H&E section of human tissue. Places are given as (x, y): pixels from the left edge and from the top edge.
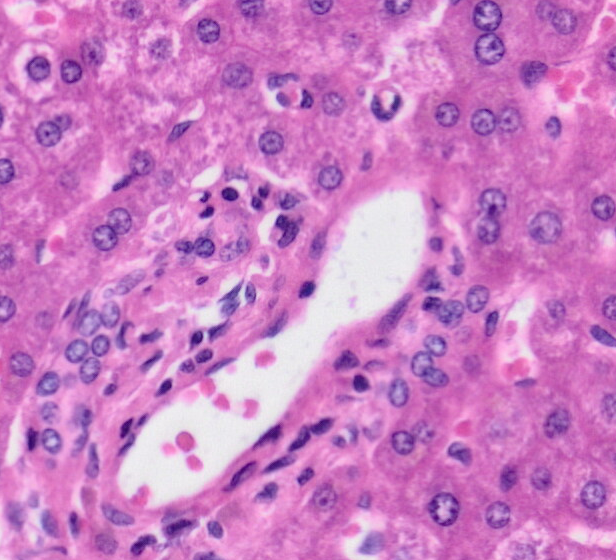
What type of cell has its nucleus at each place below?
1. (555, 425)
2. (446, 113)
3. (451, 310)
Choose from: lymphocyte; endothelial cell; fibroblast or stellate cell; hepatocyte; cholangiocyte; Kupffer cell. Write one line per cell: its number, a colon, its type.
1: hepatocyte
2: hepatocyte
3: cholangiocyte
